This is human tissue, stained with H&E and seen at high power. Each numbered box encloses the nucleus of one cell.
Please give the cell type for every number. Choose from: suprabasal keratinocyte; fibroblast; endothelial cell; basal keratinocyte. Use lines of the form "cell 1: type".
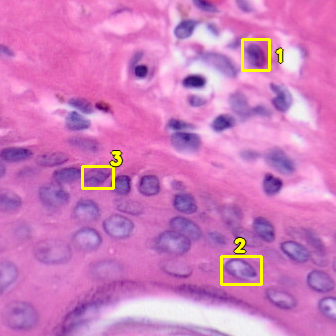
cell 1: endothelial cell
cell 2: suprabasal keratinocyte
cell 3: basal keratinocyte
